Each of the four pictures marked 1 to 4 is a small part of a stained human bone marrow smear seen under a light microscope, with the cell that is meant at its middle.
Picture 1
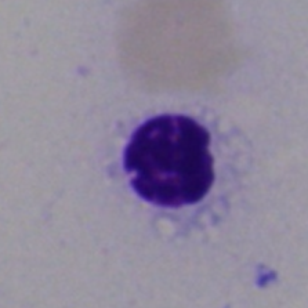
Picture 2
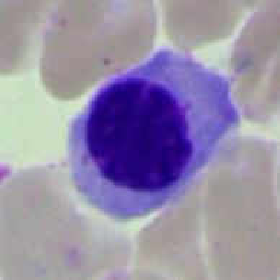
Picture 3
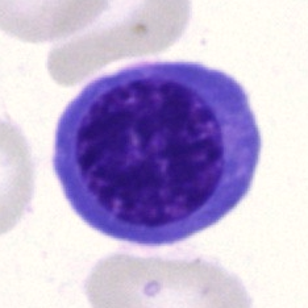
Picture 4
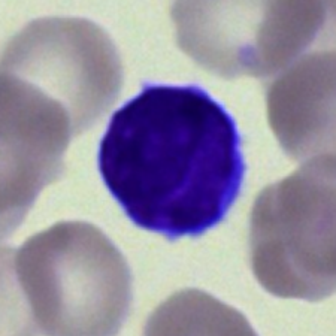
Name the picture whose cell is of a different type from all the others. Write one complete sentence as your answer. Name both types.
Picture 4 differs, because its cell is a lymphocyte and the rest are erythroblasts.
